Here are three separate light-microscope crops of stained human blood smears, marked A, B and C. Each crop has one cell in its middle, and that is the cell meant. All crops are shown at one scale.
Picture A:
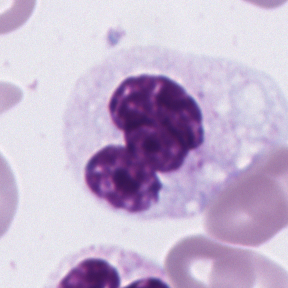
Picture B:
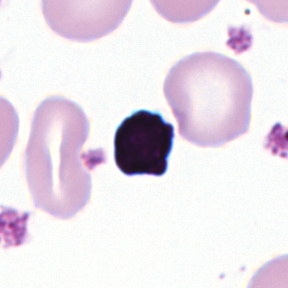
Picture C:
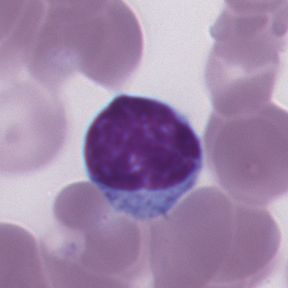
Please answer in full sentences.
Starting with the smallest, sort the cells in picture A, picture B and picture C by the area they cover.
From the smallest up, the order is B, C, A.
